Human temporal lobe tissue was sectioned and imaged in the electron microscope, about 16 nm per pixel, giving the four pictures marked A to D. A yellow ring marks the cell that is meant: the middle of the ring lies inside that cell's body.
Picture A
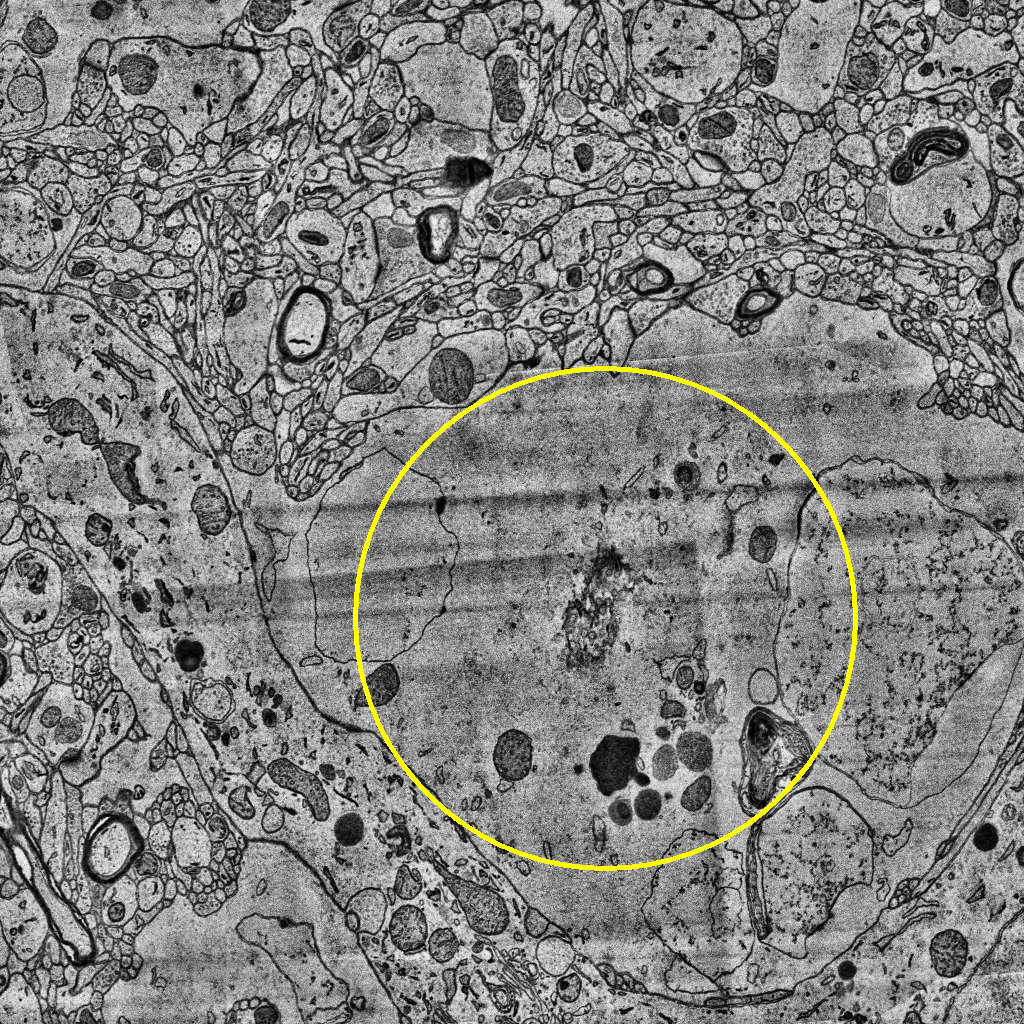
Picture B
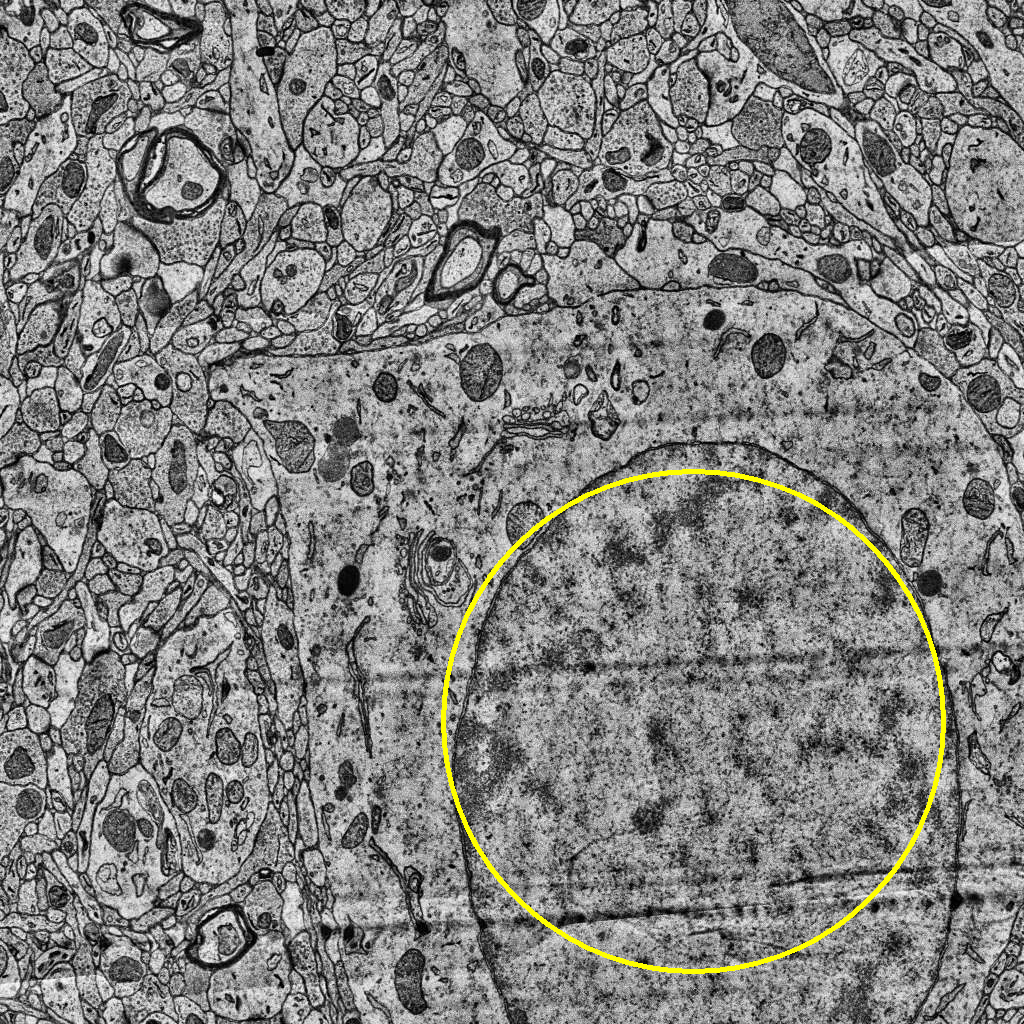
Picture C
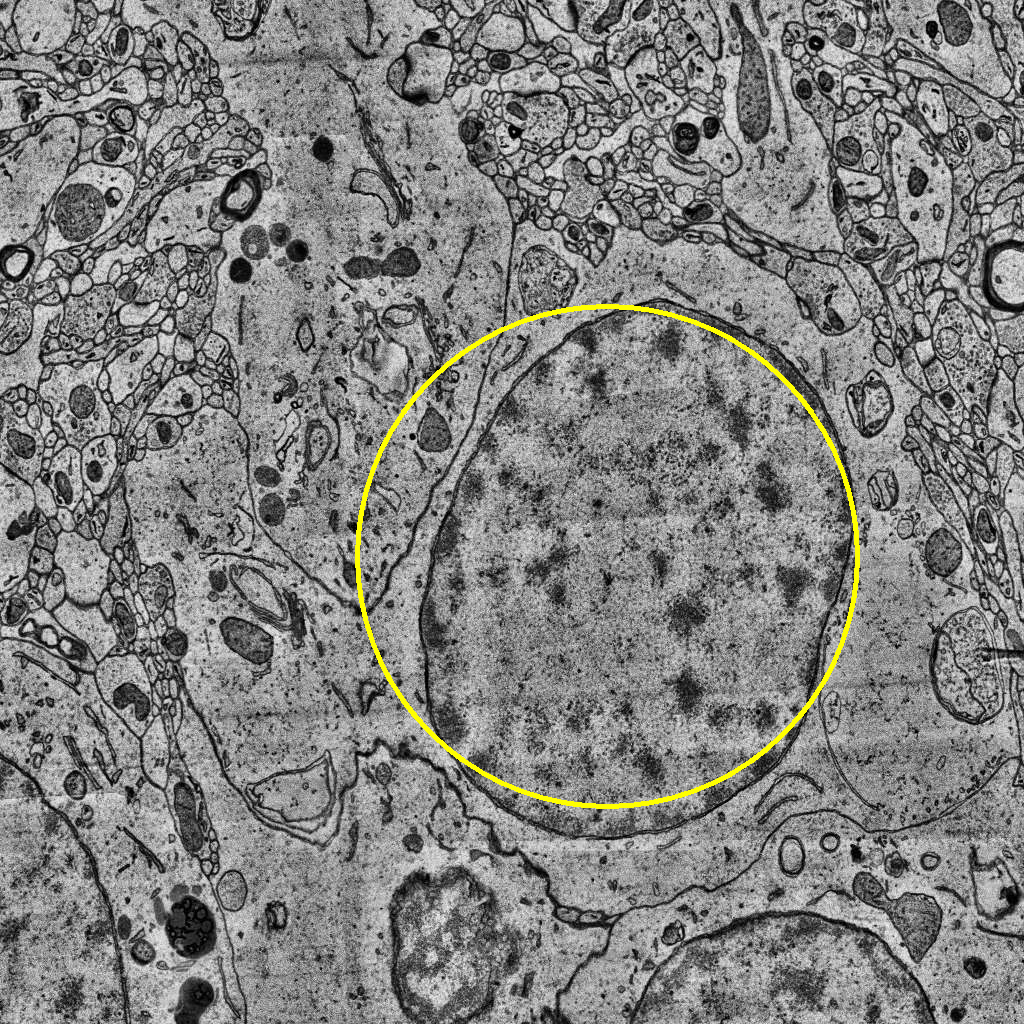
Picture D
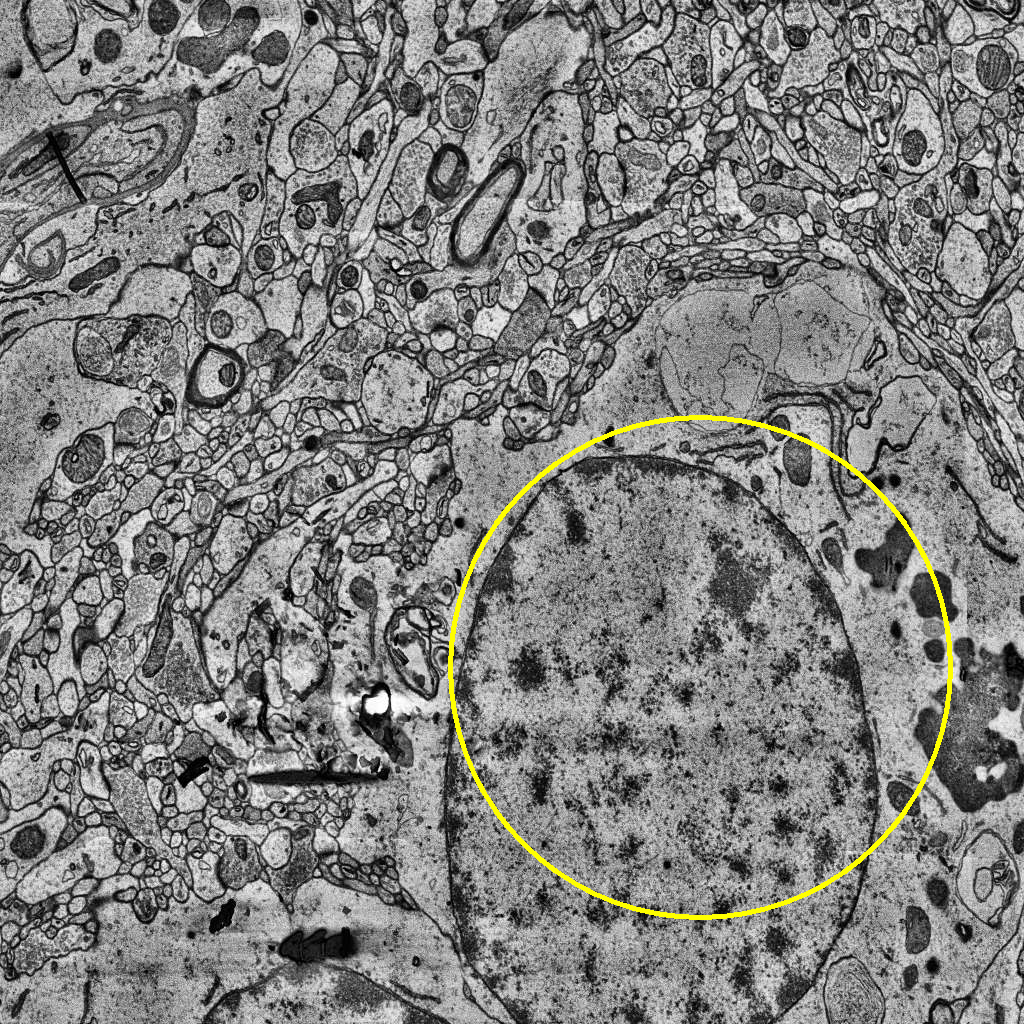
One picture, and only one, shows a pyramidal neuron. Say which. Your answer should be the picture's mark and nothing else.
B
